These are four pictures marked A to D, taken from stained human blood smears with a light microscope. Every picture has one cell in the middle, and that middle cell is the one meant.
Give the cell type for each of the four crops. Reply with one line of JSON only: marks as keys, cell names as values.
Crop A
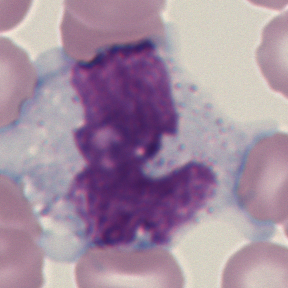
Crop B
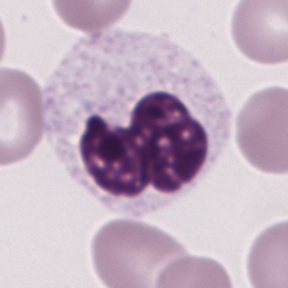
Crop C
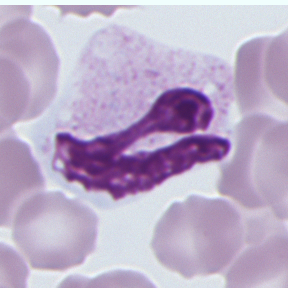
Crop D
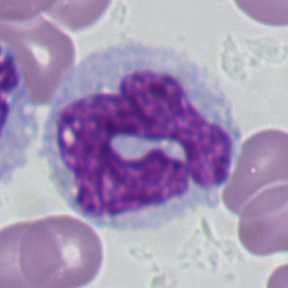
{"A": "monocyte", "B": "segmented neutrophil", "C": "segmented neutrophil", "D": "monocyte"}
